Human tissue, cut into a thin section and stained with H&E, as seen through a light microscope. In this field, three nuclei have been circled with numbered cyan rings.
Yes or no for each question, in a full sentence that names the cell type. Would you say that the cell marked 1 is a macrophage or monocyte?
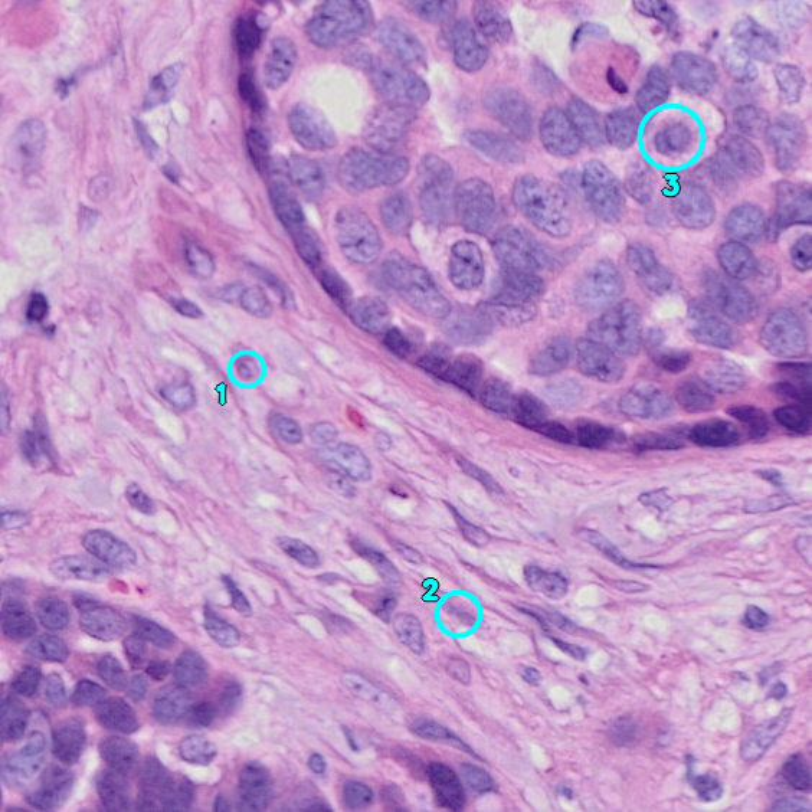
No, cell 1 has been misnamed; it is a fibroblast, not a macrophage or monocyte.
